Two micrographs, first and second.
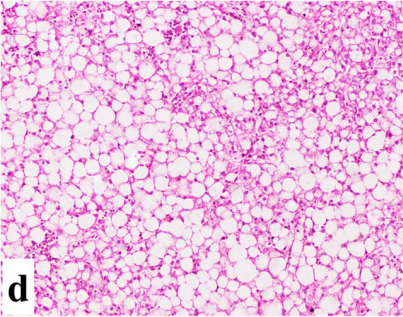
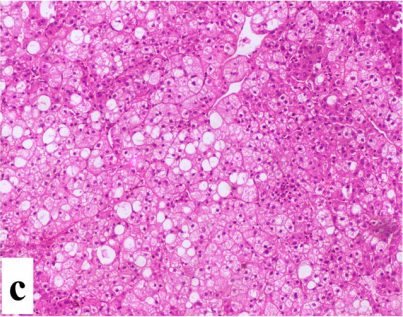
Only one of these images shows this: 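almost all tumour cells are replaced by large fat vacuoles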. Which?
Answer: The first image.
